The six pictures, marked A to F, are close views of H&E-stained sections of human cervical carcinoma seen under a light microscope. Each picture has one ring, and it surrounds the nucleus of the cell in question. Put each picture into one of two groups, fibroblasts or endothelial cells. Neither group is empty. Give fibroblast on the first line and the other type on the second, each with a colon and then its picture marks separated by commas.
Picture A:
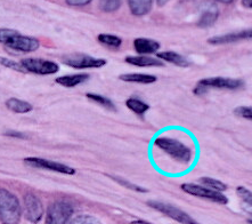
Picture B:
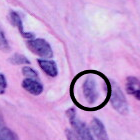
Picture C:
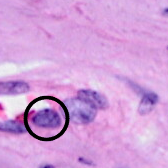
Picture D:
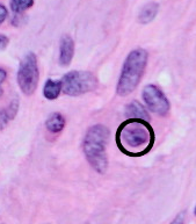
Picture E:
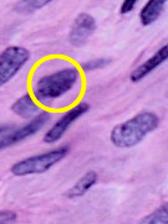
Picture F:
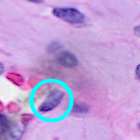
fibroblast: A, B, E
endothelial cell: C, D, F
